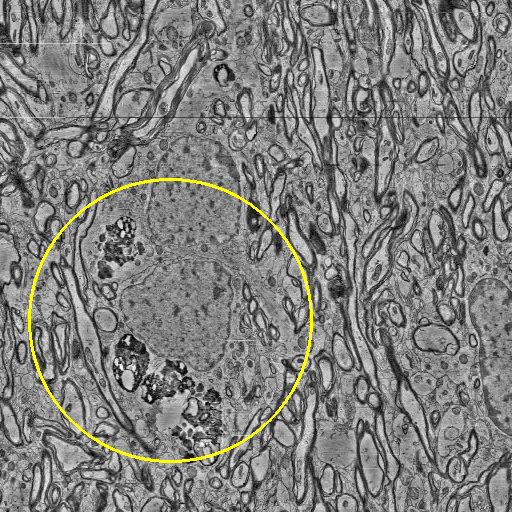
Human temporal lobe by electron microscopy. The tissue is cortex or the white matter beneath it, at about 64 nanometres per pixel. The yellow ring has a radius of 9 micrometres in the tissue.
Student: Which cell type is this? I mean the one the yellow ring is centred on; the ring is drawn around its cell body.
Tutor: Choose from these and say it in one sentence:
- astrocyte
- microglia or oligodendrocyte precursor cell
The cell the ring is centred on is an astrocyte.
